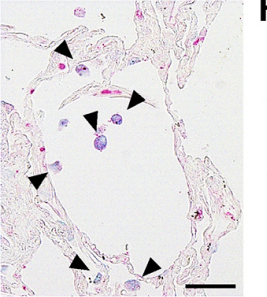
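Lung tissue with thin, pale pink alveolar walls outlining a wide, open air space. Several rounded cells with blue-stained cytoplasm lie free within the air space or against the alveolar walls, and some of them also carry a red to purple tint. Scattered small red-stained elements lie along the alveolar walls.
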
